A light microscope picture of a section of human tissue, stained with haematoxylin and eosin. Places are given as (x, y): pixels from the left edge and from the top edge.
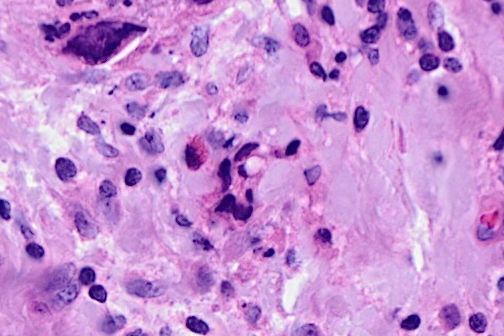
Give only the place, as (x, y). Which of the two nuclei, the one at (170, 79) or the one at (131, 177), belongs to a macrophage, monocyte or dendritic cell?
(170, 79)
